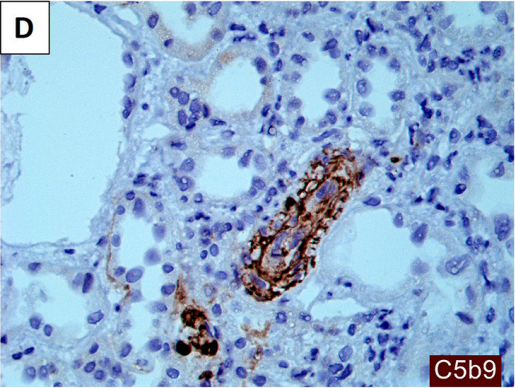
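A small vessel cut lengthwise lies among tubules with cuboidal epithelium and round blue nuclei. Dark brown granular stain outlines the vessel wall and fills its narrowed lumen, with elongated nuclei embedded in it, while the surrounding tubules are almost unstained.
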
